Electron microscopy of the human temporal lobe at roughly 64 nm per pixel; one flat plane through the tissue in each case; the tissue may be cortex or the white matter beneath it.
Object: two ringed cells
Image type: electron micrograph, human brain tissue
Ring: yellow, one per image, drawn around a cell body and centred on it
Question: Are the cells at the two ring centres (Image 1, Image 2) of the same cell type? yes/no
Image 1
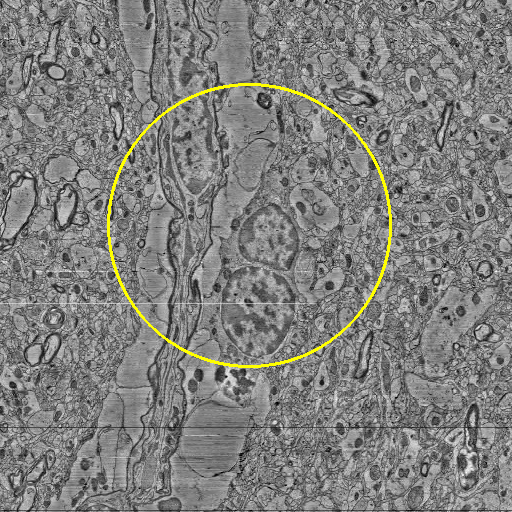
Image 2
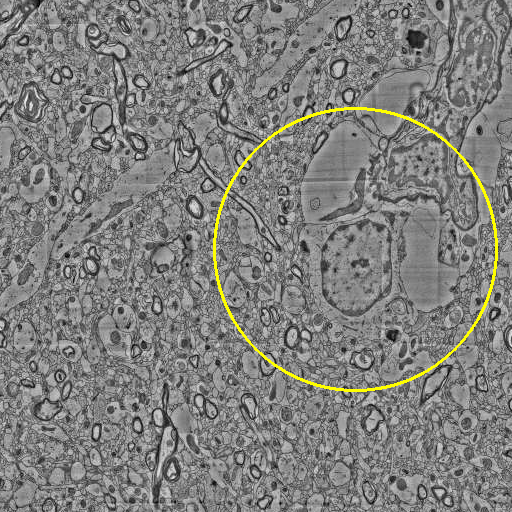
no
